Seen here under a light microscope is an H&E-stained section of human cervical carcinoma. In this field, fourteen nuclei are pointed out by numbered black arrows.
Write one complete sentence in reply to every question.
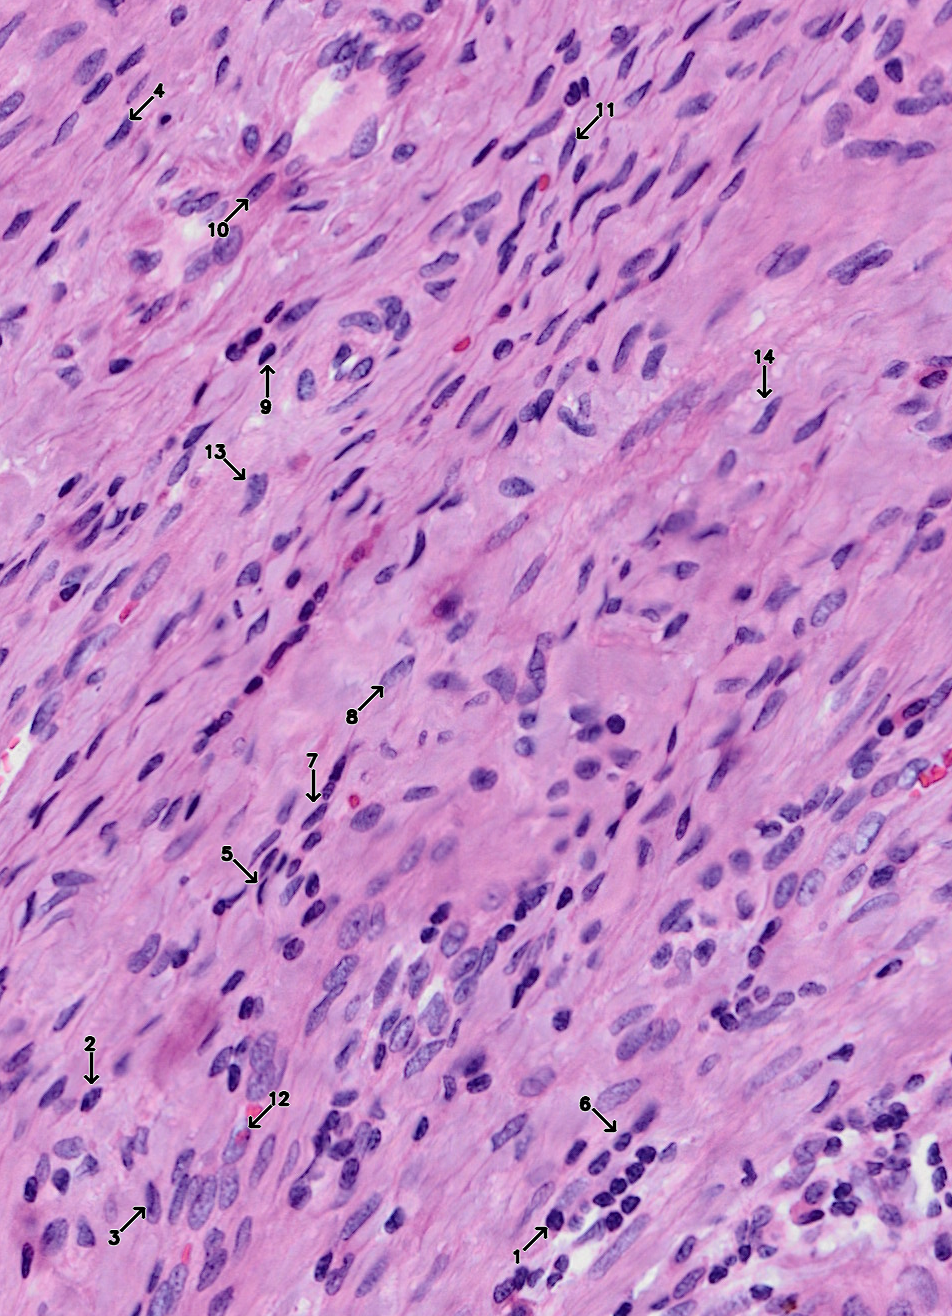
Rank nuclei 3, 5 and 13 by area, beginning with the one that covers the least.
From smallest to largest, the order is 5, 3, 13.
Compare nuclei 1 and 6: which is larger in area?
Nucleus 1 covers more area, about 1.5 times as much as nucleus 6.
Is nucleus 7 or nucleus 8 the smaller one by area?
The smaller nucleus is 7, and 8 covers roughly 2 times its area.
